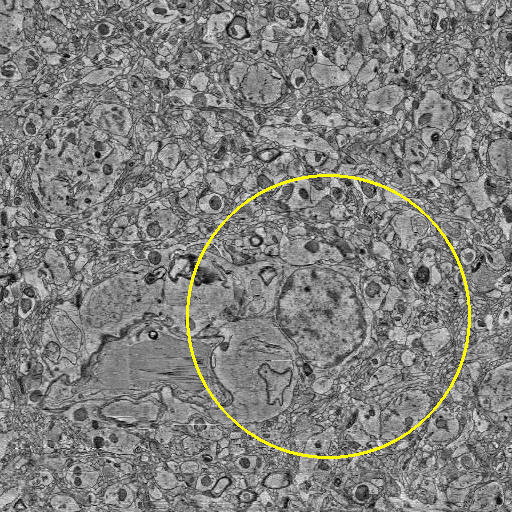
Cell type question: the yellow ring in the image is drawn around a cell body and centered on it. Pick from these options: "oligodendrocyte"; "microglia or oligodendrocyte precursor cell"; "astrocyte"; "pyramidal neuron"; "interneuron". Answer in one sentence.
The ringed cell at the center is a microglial cell or oligodendrocyte precursor cell.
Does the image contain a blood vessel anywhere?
Yes, a blood vessel shows in the picture.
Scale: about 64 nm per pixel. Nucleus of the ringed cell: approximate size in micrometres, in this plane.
The nucleus of the ringed cell is approximately 7 by 5 micrometres in this plane.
